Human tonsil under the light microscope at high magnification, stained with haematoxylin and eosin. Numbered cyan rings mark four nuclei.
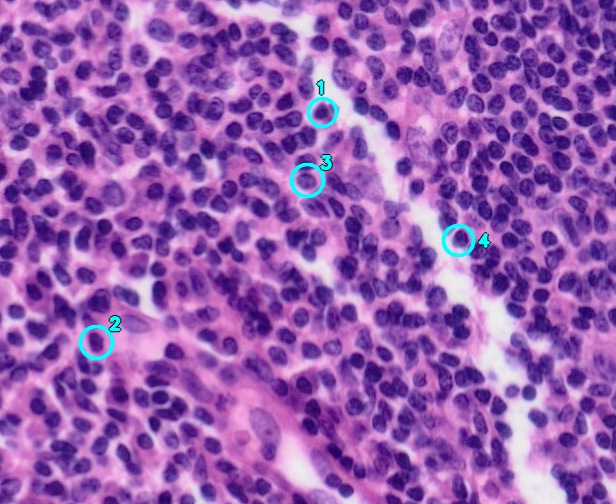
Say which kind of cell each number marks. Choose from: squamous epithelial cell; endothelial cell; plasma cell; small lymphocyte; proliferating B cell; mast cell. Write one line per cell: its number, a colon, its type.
1: small lymphocyte
2: endothelial cell
3: small lymphocyte
4: small lymphocyte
